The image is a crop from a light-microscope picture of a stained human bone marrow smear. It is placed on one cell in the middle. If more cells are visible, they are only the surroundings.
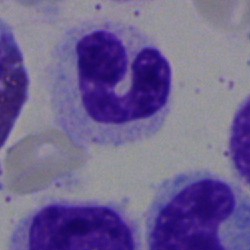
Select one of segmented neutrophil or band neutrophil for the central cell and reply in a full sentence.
Looking at the middle of the crop, the cell there is a segmented neutrophil.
